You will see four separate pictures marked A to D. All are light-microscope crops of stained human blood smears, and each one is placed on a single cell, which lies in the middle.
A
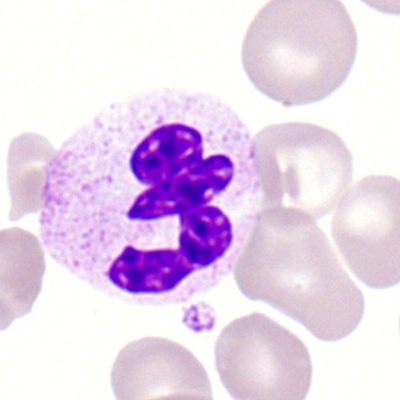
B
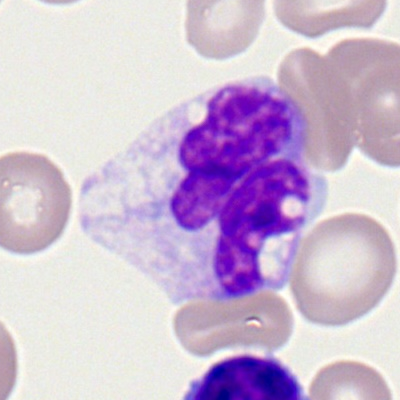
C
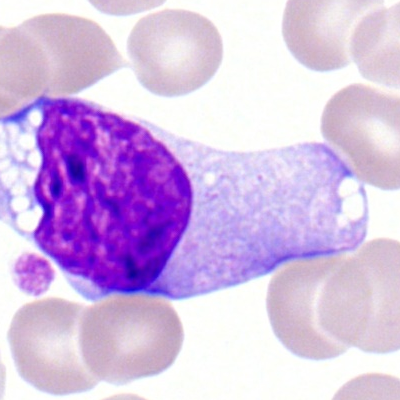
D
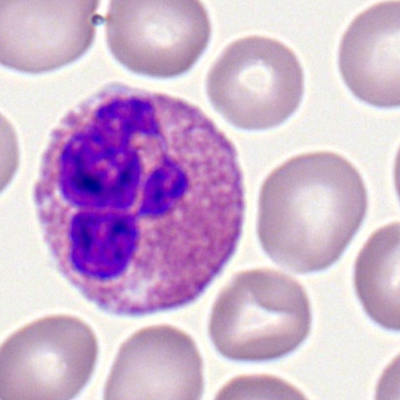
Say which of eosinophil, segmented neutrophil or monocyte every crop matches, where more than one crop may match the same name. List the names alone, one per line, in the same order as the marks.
segmented neutrophil
monocyte
monocyte
eosinophil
